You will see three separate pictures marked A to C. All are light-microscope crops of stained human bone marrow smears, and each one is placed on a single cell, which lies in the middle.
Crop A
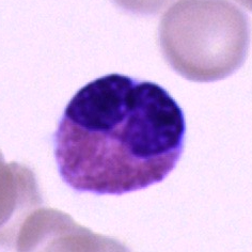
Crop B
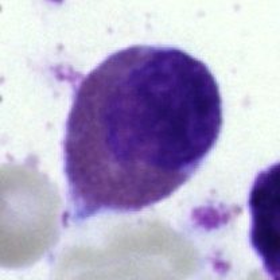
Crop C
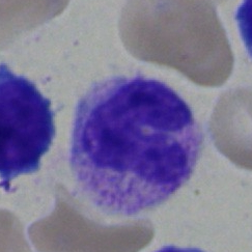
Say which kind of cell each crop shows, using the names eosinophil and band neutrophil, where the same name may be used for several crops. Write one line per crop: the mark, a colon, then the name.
A: eosinophil
B: eosinophil
C: band neutrophil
